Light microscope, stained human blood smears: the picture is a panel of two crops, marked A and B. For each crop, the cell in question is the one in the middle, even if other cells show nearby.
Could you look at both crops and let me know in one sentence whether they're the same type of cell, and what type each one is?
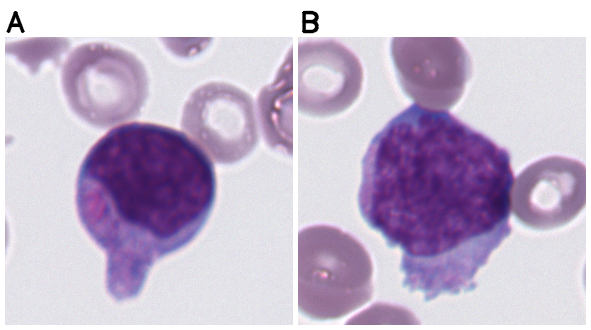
Yes, they do, both crops show atypical promyelocytes.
